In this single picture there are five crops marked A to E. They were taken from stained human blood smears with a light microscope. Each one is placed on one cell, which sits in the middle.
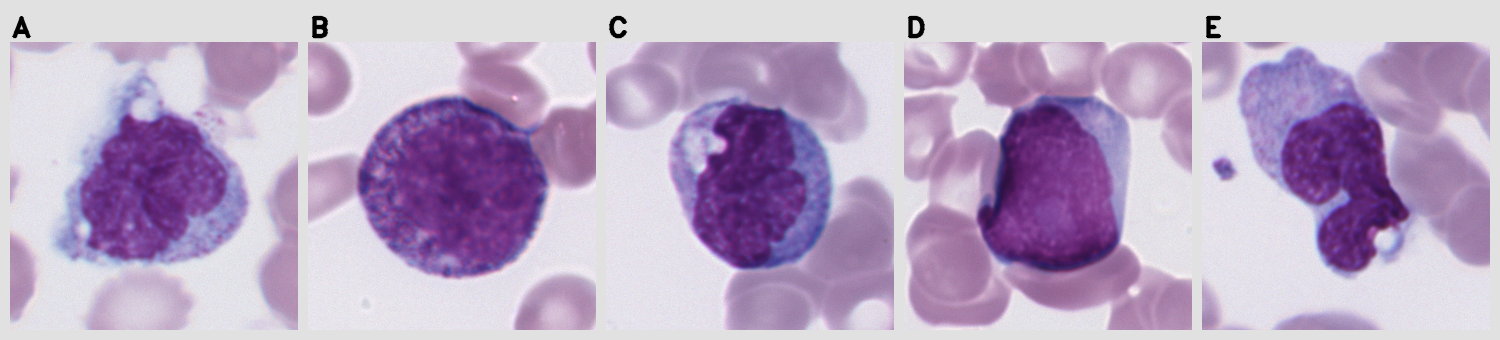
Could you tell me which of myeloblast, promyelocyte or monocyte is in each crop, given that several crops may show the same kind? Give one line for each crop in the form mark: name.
A: monocyte
B: promyelocyte
C: monocyte
D: myeloblast
E: monocyte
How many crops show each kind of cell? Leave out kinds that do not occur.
monocyte: 3
promyelocyte: 1
myeloblast: 1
